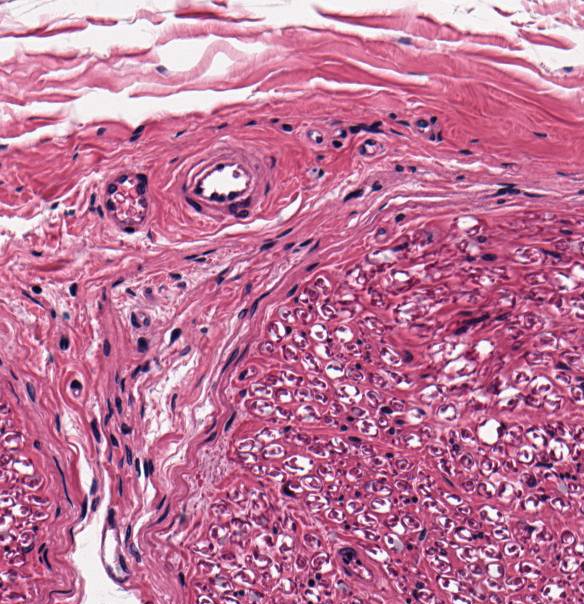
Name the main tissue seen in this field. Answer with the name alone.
nerve fascicle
